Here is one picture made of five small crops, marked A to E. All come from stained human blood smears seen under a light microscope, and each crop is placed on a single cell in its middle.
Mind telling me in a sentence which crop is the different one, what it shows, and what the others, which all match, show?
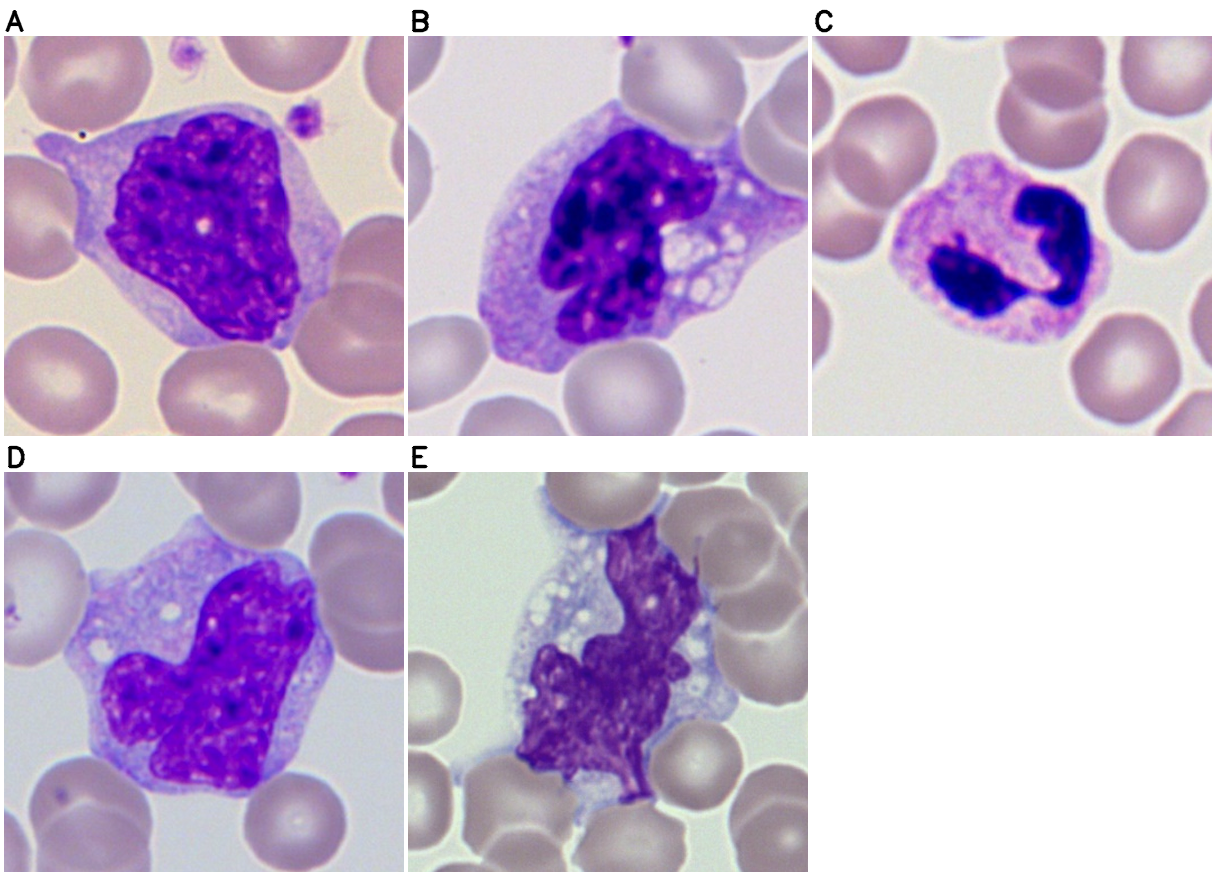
All of the other crops show monocytes; crop C, by contrast, is a neutrophil.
